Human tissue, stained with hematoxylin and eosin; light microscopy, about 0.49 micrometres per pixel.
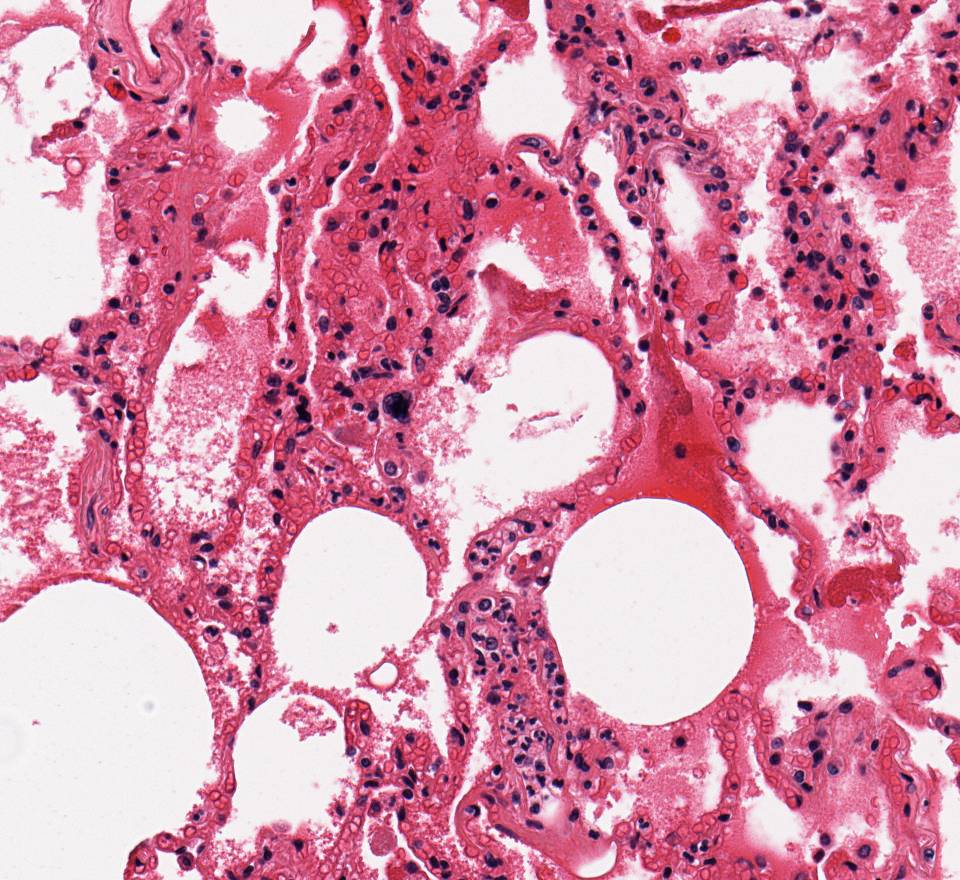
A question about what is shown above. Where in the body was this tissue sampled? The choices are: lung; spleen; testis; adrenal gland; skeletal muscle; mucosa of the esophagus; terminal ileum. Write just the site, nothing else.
lung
